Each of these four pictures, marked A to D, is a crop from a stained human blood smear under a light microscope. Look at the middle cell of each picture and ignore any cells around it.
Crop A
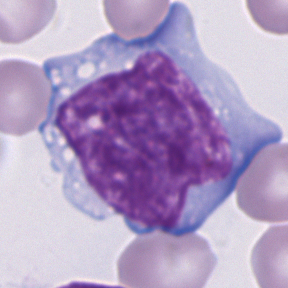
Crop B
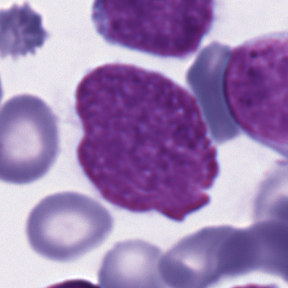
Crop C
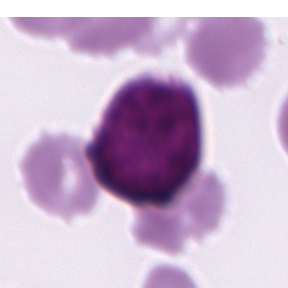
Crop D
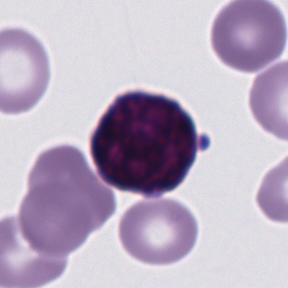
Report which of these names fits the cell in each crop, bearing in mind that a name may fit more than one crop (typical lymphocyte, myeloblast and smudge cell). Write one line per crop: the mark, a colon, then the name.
A: myeloblast
B: smudge cell
C: myeloblast
D: myeloblast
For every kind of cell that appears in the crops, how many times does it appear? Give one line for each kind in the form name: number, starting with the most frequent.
myeloblast: 3
smudge cell: 1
